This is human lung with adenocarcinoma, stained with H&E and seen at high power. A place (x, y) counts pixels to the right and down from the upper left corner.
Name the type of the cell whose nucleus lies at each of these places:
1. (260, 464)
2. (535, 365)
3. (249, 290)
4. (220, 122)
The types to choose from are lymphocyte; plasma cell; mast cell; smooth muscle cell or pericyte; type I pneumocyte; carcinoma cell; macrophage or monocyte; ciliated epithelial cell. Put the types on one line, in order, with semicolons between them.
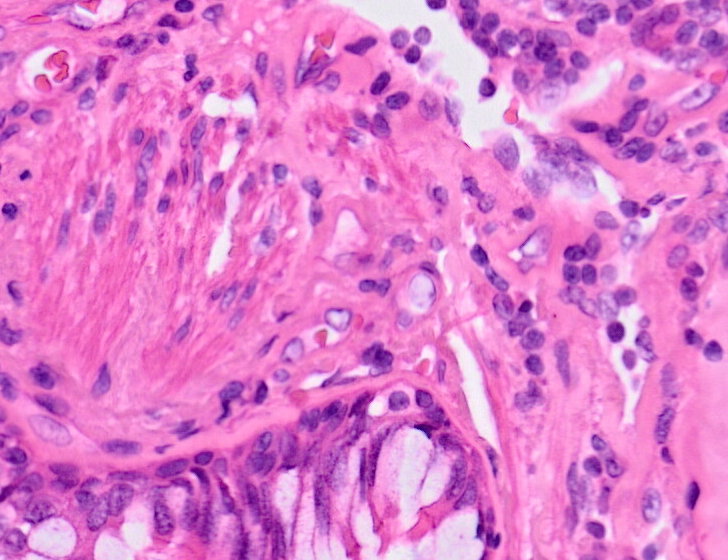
ciliated epithelial cell; lymphocyte; smooth muscle cell or pericyte; smooth muscle cell or pericyte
